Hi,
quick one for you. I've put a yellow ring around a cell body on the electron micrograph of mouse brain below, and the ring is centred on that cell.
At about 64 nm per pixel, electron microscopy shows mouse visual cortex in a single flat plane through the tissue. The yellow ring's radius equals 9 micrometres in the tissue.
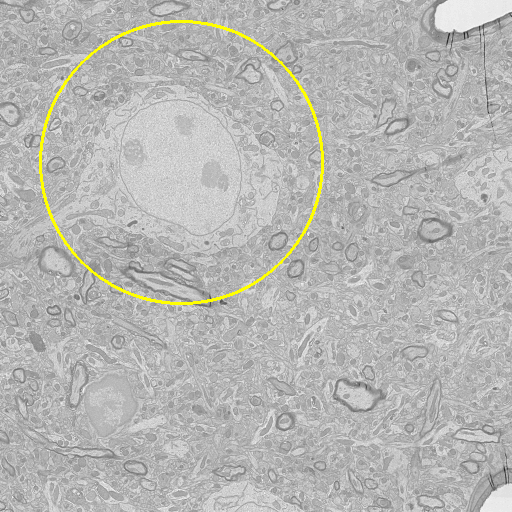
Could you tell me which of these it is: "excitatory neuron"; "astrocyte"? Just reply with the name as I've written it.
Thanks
excitatory neuron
